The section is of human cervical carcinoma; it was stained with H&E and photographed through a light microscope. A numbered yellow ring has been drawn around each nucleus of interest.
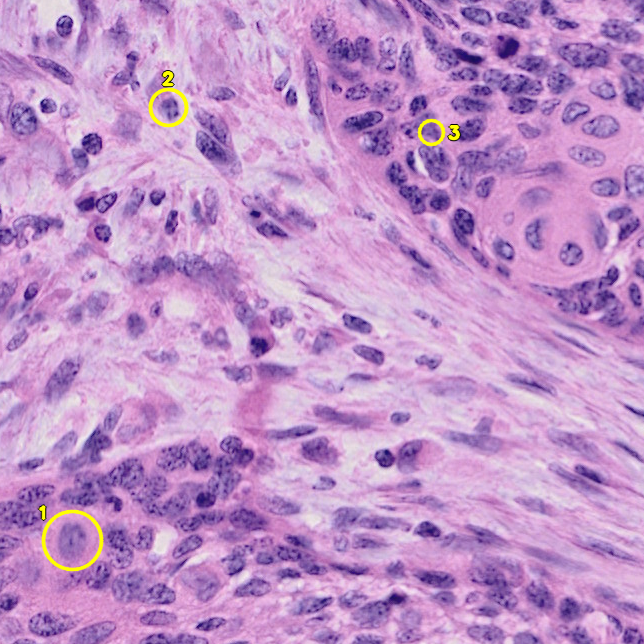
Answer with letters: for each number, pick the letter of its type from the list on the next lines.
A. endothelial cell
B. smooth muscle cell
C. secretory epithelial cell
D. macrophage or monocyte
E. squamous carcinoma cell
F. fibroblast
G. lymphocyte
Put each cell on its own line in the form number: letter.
1: E
2: G
3: E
